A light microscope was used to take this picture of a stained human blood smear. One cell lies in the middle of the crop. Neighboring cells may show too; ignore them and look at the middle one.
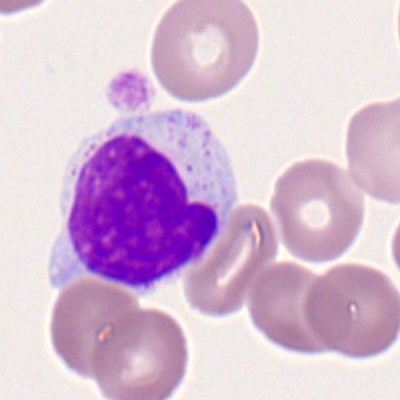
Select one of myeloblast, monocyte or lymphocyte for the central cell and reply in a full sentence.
The centrally located cell in the crop is a lymphocyte.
